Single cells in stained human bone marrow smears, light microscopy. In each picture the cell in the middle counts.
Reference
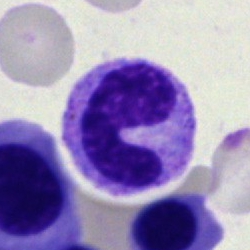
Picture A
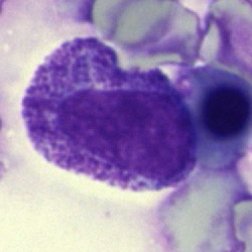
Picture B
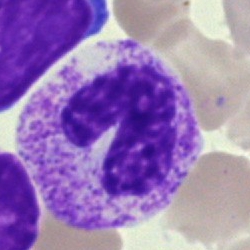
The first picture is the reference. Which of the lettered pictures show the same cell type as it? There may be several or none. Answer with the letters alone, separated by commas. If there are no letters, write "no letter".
B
